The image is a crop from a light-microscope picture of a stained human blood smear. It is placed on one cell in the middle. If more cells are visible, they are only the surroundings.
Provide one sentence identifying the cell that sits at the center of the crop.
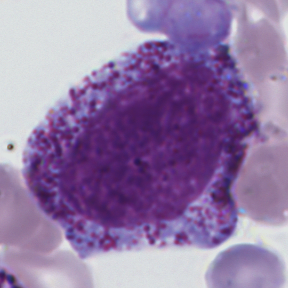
The cell occupying the middle of the crop is a promyelocyte.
